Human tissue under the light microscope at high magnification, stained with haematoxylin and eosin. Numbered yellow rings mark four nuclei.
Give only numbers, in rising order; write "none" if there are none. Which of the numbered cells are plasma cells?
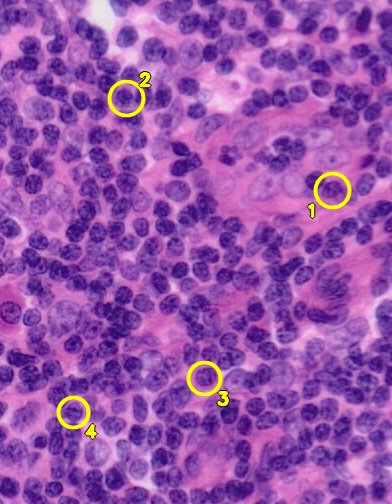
3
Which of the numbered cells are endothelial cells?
1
